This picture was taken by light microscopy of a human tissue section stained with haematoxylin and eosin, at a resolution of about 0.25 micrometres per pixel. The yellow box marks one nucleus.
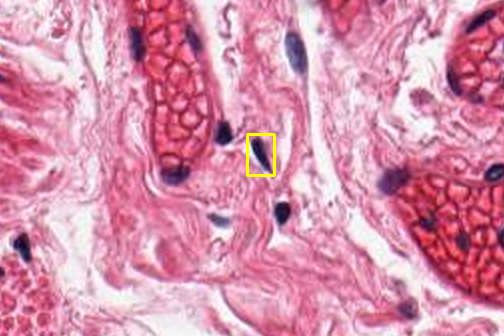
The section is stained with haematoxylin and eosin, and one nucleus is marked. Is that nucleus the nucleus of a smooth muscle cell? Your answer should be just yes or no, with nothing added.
no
